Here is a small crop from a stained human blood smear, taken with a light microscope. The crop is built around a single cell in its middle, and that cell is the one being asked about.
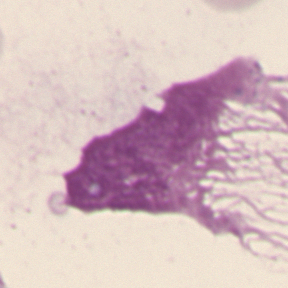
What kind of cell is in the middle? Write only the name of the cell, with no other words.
smudge cell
